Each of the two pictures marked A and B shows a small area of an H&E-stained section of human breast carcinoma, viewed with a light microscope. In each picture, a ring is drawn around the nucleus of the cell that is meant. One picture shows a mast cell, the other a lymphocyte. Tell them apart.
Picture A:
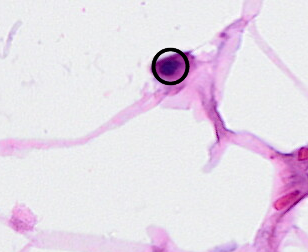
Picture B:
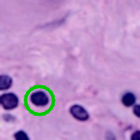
A: mast cell
B: lymphocyte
